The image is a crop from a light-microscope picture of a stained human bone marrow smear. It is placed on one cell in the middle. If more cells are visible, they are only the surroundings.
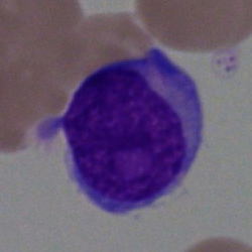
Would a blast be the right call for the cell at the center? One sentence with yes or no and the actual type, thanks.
Yes, the cell at the center of the crop is a blast.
